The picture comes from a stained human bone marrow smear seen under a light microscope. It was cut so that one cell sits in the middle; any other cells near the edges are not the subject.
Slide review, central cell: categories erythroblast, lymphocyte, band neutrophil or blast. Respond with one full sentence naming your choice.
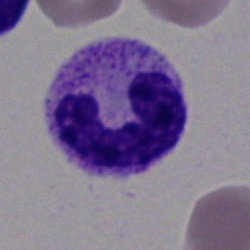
As for the central cell, it is a band neutrophil.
